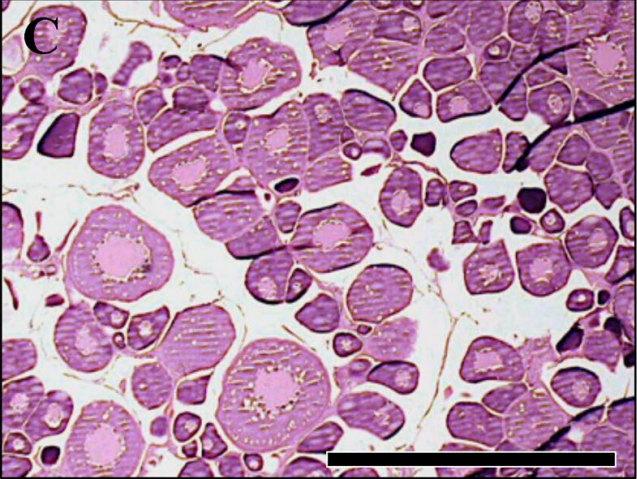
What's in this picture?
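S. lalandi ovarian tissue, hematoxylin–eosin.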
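Ovary with oocytes of mixed sizes stained purple, the larger ones rounded with a pale pink central nucleus. In these larger oocytes a ring of small granules lies around the nucleus, and small dark purple oocytes fill the spaces between them.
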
